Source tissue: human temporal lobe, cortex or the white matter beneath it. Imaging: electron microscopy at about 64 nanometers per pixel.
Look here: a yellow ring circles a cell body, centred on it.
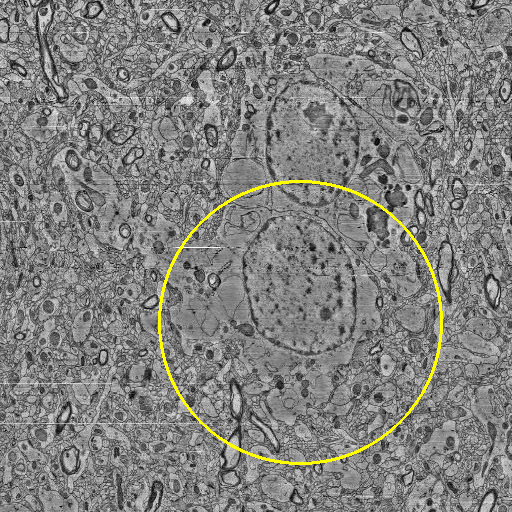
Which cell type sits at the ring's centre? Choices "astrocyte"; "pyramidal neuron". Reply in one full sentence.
The cell at the centre of the yellow ring in the picture is an astrocyte.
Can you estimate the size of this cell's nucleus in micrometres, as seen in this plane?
In this plane the nucleus is about 9 micrometres by 7.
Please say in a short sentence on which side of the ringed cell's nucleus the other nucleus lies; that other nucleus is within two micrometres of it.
The other nucleus lies above it in the picture.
